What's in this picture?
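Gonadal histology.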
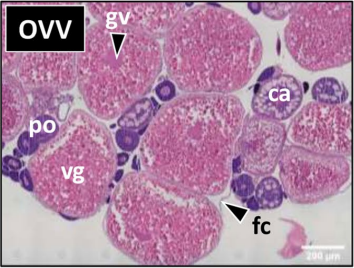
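This is ovary holding oocytes of several sizes and stages. The largest oocytes are round and their cytoplasm is packed with pink-red granules, the yolk of vitellogenic oocytes. The smallest are primary oocytes with deep purple cytoplasm and a central nucleus, clustered in the spaces between the larger ones.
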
